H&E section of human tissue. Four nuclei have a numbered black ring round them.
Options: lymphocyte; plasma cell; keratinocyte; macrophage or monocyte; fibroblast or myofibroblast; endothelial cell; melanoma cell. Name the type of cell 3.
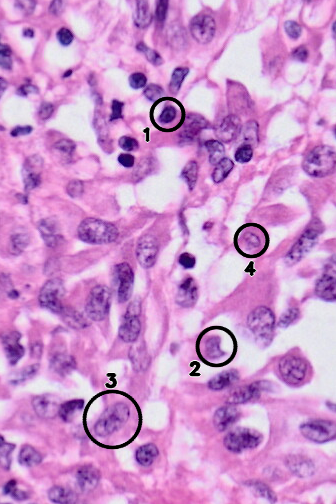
melanoma cell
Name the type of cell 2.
melanoma cell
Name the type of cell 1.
lymphocyte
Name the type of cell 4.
melanoma cell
